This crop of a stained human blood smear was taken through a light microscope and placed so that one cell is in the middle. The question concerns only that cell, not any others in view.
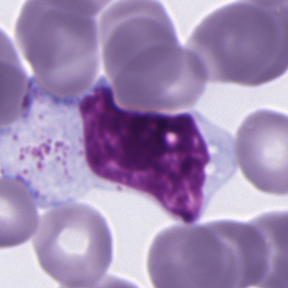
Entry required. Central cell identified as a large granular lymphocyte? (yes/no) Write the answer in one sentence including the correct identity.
Yes, the cell of interest in the middle is a large granular lymphocyte.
